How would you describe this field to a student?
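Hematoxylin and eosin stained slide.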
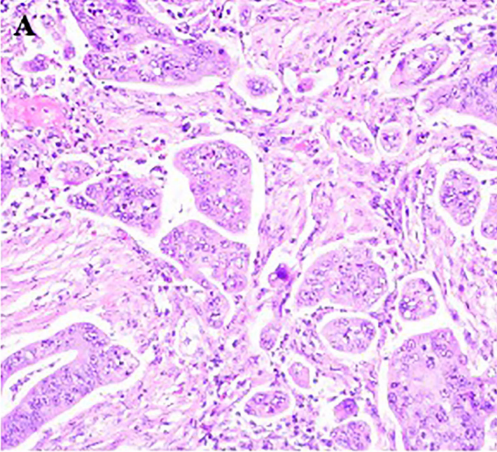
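The tumour cells are columnar to polygonal with enlarged, round to oval nuclei and visible nucleoli. Some groups form lumina, others are small solid clusters separated from the stroma by clear retraction spaces. Scattered inflammatory cells lie in the stroma between the glands.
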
